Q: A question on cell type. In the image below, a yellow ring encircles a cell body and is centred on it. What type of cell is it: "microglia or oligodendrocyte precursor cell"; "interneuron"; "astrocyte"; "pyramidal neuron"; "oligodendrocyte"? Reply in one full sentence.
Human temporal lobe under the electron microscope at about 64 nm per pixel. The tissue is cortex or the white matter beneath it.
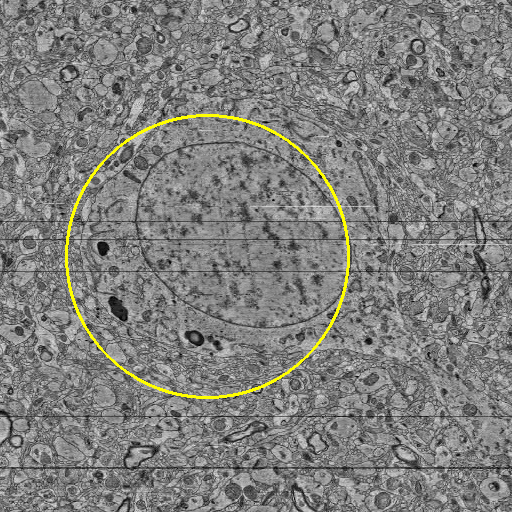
It is a pyramidal neuron whose cell body sits at the centre of the yellow ring in the image.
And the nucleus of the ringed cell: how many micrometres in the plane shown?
The nucleus has a long axis of about 15 micrometres and a short axis of about 11 micrometres in this plane.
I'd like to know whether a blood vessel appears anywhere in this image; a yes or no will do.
No, there is none.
